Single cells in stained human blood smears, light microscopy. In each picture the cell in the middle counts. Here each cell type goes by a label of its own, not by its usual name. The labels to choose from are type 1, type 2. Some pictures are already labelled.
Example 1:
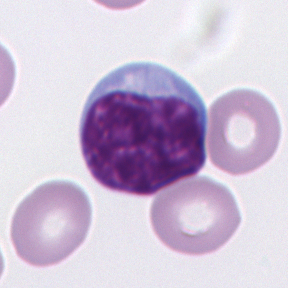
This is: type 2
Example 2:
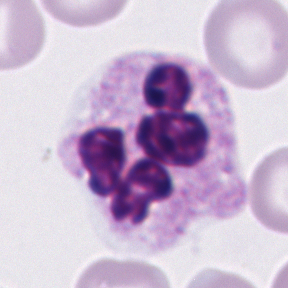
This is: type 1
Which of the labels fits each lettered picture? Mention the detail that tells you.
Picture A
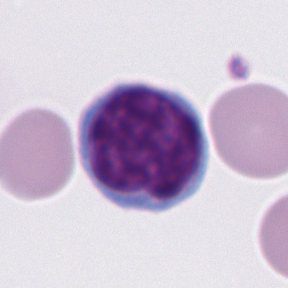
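type 2: The cytoplasm forms a thin rim that is widest below the nucleus.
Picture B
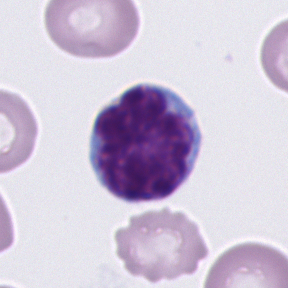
type 2: The cytoplasm forms only a thin rim, widest at the upper right.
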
